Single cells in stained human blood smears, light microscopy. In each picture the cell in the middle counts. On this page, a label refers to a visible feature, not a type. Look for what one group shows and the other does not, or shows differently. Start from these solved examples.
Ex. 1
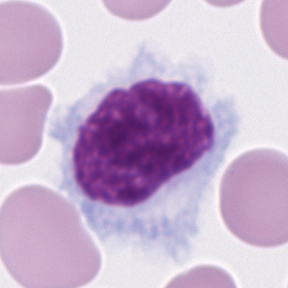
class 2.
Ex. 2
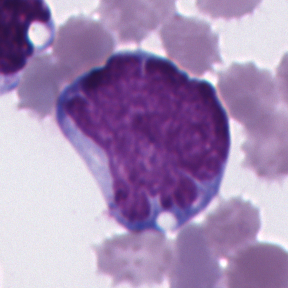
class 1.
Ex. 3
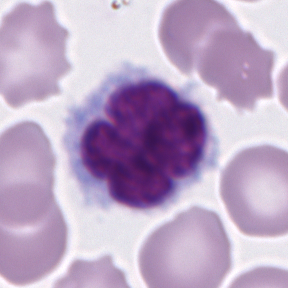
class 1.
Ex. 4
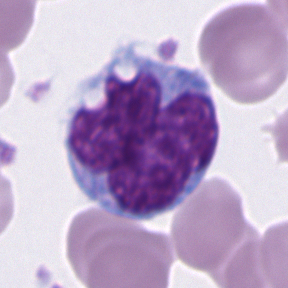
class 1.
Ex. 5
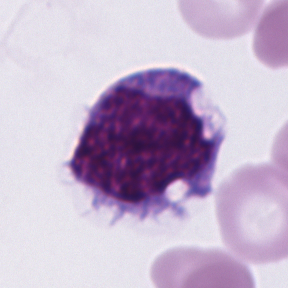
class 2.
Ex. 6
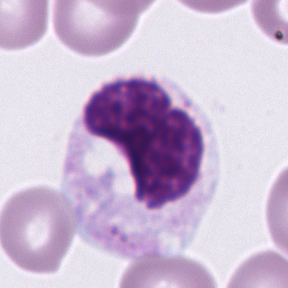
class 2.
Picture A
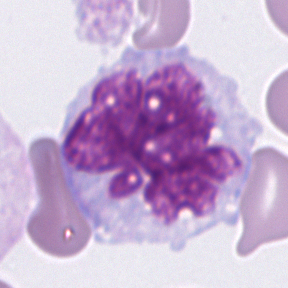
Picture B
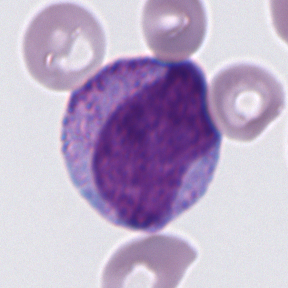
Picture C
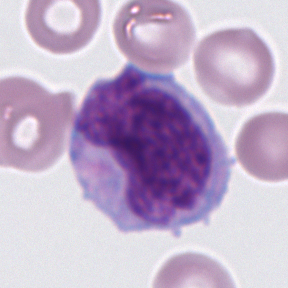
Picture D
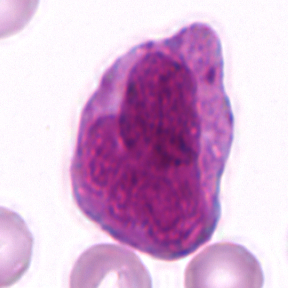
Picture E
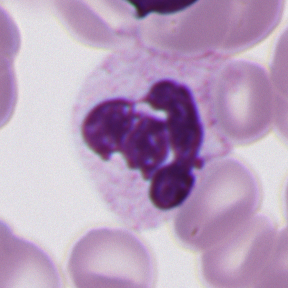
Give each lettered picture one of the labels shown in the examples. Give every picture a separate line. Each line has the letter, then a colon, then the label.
A: class 1.
B: class 2.
C: class 2.
D: class 1.
E: class 1.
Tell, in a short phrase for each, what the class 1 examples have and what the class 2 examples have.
class 1: lobed nucleus; class 2: single compact nucleus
